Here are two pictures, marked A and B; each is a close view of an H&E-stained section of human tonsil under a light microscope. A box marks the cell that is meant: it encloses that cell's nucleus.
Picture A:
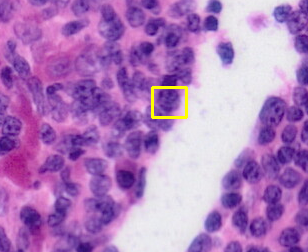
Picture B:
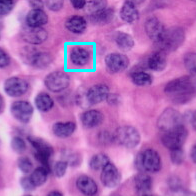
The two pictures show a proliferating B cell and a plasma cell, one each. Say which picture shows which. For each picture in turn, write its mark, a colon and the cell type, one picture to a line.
A: proliferating B cell
B: plasma cell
